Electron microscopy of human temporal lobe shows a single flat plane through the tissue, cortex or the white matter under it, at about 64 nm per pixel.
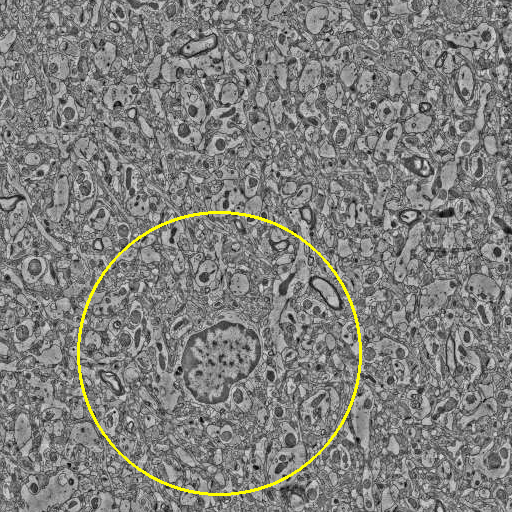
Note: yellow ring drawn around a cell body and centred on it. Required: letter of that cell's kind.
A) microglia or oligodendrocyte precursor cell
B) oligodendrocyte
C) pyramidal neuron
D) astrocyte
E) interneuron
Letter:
A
